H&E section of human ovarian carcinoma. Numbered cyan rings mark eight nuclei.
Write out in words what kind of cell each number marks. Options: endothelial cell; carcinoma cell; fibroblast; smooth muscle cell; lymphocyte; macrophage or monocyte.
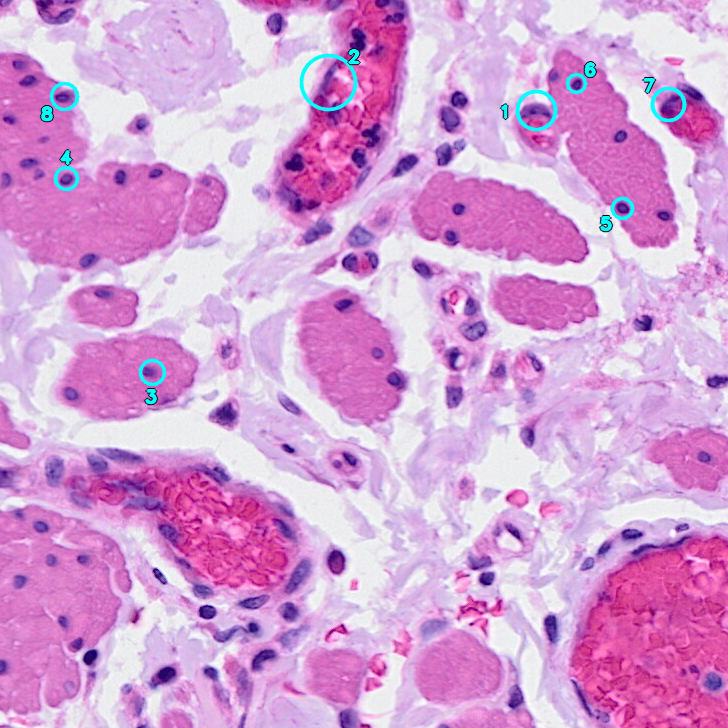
Cells 1, 2 and 7 are endothelial cells. Cells 3, 4, 5, 6 and 8 are smooth muscle cells.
